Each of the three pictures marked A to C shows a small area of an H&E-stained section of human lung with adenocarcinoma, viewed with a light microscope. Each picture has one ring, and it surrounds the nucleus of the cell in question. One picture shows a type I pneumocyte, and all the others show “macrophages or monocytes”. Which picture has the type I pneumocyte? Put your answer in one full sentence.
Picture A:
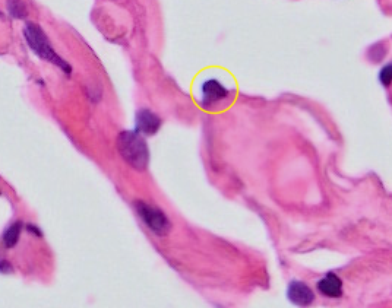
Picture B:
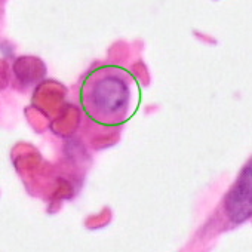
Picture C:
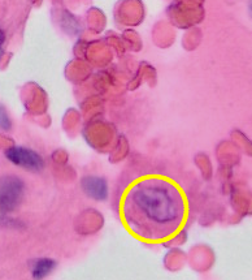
Picture A shows the type I pneumocyte.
